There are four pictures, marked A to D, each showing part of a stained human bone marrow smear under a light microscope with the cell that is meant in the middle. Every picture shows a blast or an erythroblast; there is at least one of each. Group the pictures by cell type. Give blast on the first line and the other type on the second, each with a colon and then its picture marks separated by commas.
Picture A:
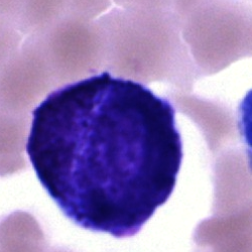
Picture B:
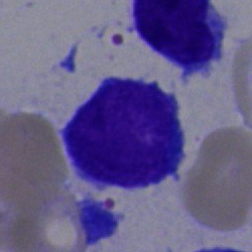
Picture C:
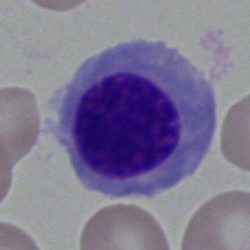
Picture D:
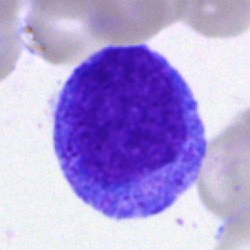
blast: A, B, D
erythroblast: C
